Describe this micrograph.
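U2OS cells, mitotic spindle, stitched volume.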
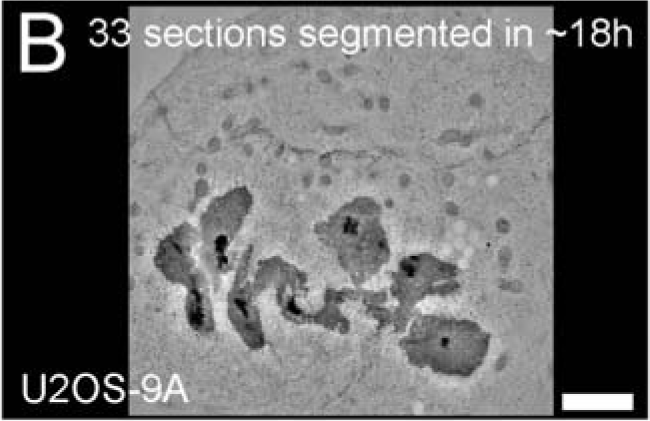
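Electron tomographic slice through a dividing cultured cell, showing several separate, irregular, dark condensed chromosome masses scattered in the central cytoplasm rather than in a single band. Some masses hold still darker dense spots, and many small round grey bodies lie in the surrounding cytoplasm toward the cell periphery.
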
